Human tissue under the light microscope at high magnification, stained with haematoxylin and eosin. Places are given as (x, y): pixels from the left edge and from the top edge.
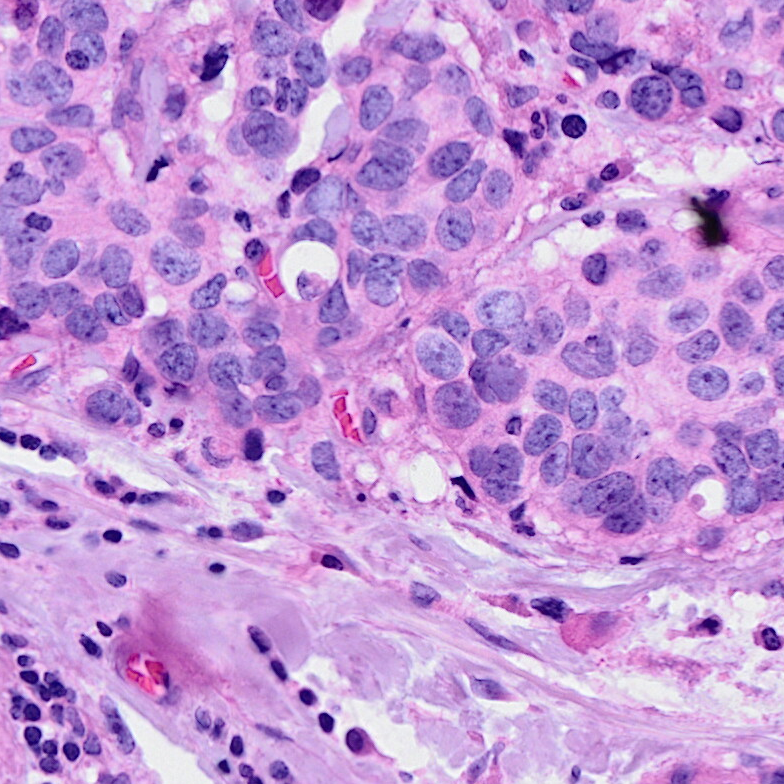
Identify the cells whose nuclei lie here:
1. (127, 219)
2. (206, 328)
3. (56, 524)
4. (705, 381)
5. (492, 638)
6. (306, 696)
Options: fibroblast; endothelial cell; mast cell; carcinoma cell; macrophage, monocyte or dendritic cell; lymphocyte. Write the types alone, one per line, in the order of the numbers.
carcinoma cell
carcinoma cell
lymphocyte
carcinoma cell
fibroblast
lymphocyte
